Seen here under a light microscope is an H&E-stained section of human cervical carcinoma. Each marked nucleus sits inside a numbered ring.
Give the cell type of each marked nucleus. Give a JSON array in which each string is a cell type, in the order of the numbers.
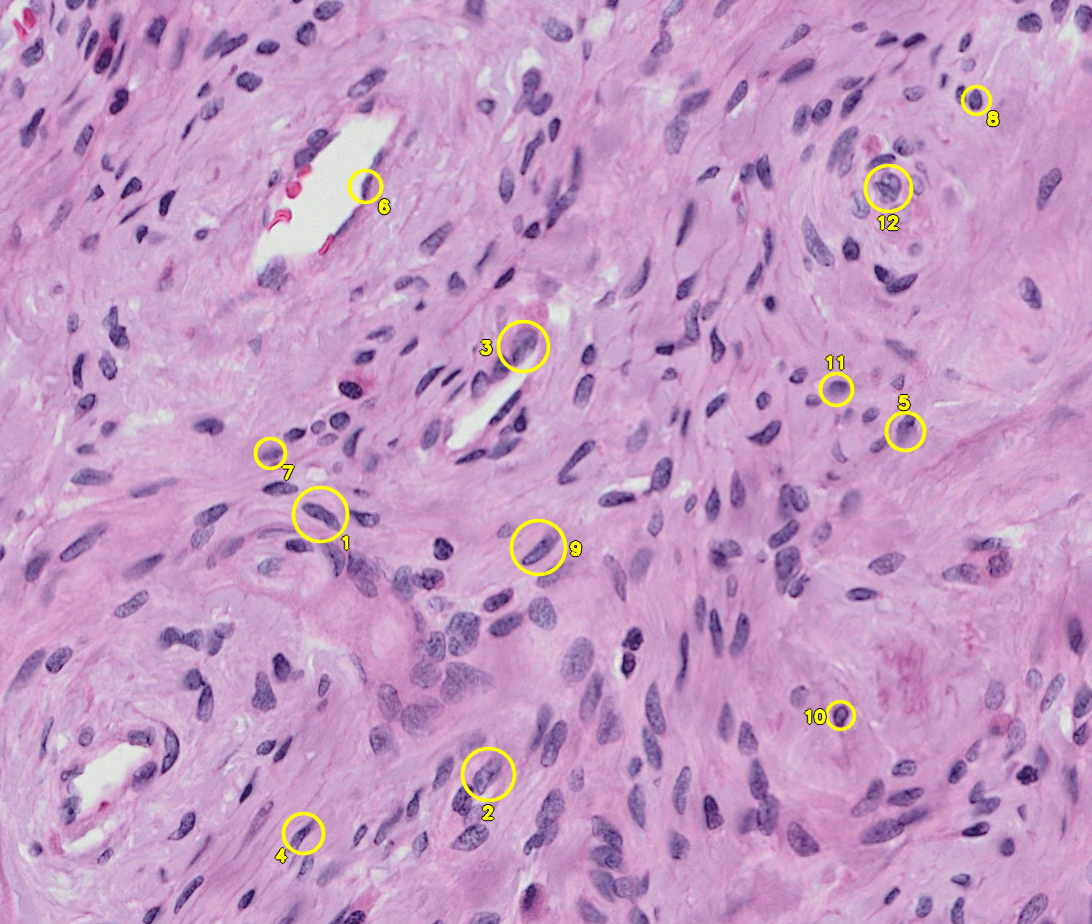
["fibroblast", "endothelial cell", "endothelial cell", "fibroblast", "fibroblast", "endothelial cell", "fibroblast", "fibroblast", "fibroblast", "smooth muscle cell", "fibroblast", "endothelial cell"]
